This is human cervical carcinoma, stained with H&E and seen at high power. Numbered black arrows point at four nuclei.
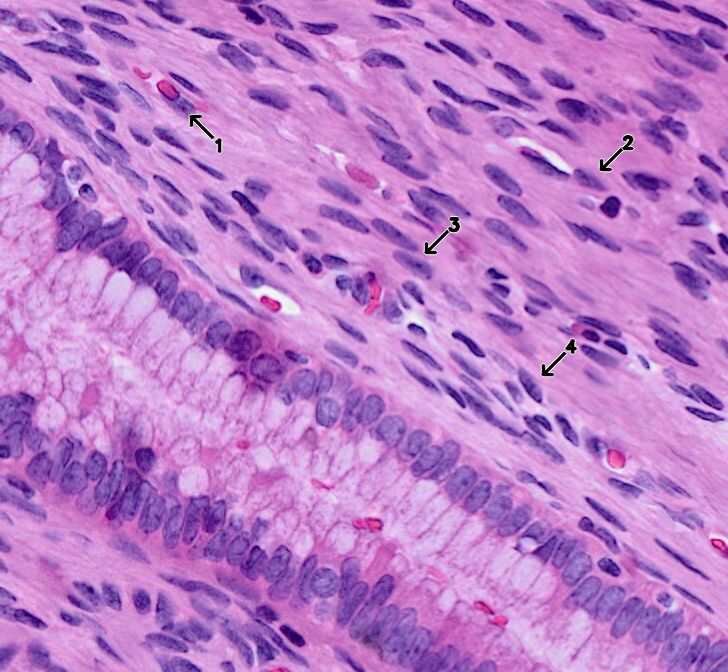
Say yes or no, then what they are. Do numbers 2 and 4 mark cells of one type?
No, cell 2 is an endothelial cell and cell 4 is a fibroblast.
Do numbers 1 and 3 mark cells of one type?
No, cell 1 is an endothelial cell and cell 3 is a fibroblast.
